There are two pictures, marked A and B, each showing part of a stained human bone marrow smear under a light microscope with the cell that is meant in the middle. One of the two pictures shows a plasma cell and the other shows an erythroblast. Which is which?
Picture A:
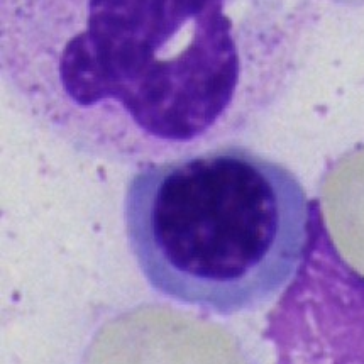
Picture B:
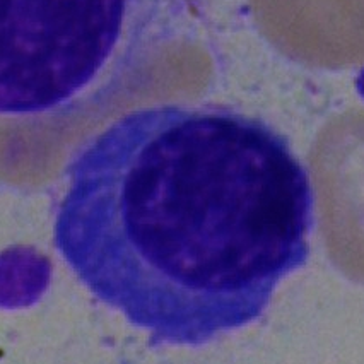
A: erythroblast
B: plasma cell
